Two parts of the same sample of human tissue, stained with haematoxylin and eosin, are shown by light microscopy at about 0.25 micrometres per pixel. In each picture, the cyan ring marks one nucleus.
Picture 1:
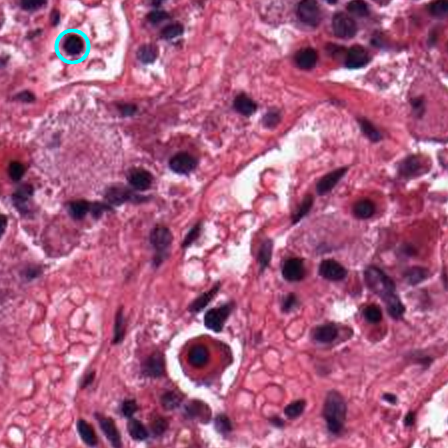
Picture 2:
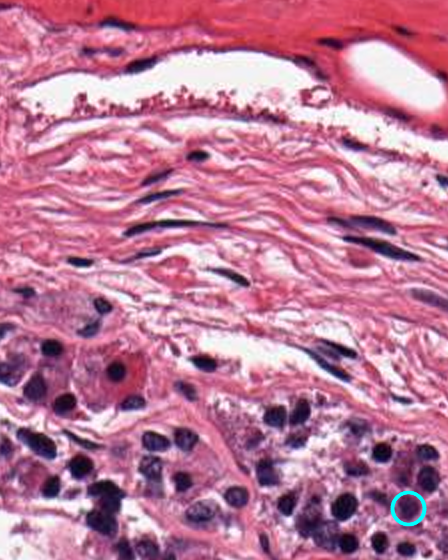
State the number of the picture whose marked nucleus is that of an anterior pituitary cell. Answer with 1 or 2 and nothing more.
2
